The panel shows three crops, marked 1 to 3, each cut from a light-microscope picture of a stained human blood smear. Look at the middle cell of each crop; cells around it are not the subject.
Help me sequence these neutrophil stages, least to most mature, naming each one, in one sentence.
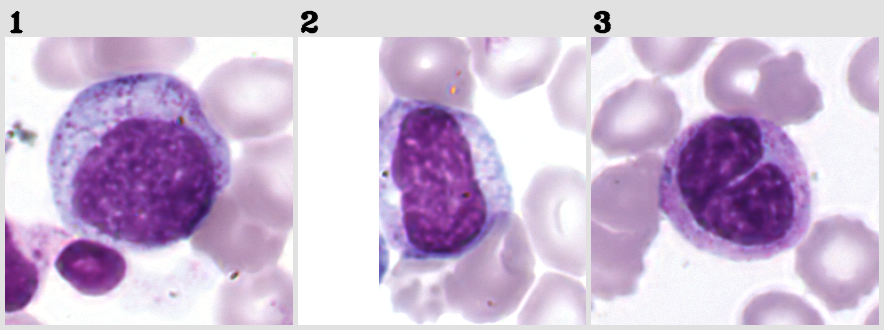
The order of maturity, lowest to highest, is crop 1 (a promyelocyte), crop 2 (a metamyelocyte) and crop 3 (a band neutrophil).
